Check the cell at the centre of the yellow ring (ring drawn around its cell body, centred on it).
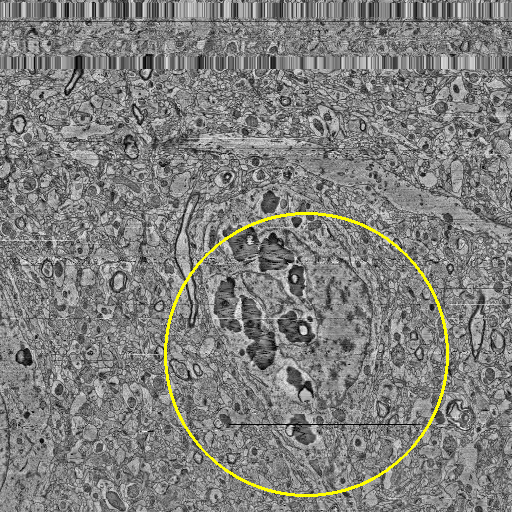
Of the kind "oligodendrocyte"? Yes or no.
no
